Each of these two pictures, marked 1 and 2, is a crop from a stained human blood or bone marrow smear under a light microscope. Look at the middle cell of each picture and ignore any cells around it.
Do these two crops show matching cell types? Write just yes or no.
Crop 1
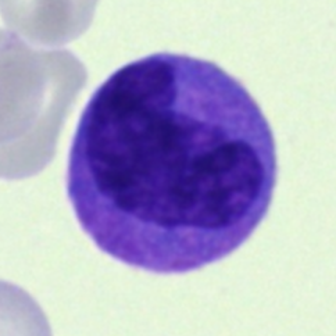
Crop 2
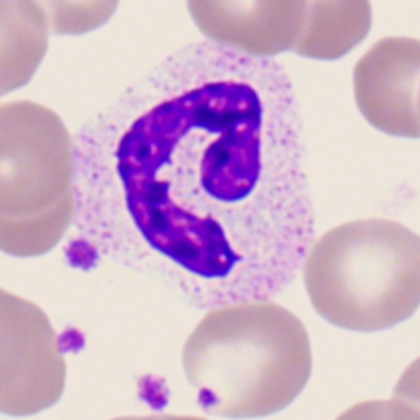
no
